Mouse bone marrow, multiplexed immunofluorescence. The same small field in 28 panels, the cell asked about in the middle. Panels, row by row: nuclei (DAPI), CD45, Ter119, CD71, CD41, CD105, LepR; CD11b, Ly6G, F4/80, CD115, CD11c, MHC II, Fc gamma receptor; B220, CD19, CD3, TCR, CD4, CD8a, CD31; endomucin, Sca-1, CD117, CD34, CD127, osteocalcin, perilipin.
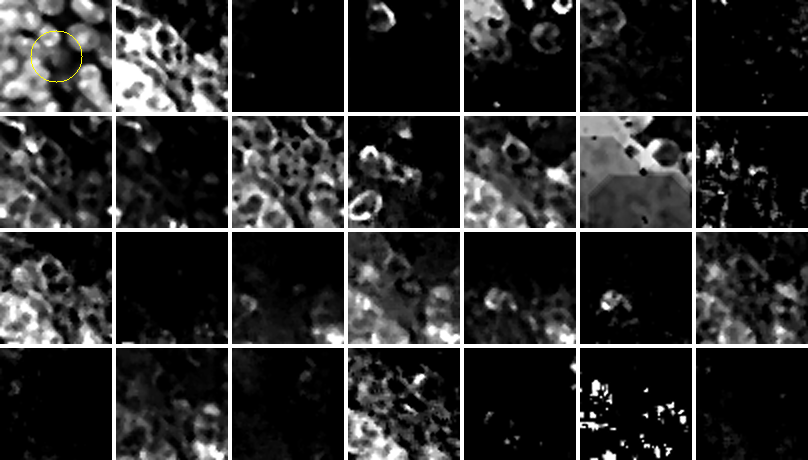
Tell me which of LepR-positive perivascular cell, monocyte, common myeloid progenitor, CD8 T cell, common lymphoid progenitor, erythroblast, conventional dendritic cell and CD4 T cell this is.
The picture shows a monocyte.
